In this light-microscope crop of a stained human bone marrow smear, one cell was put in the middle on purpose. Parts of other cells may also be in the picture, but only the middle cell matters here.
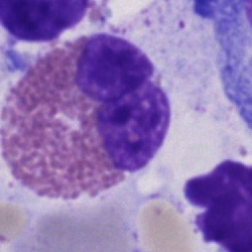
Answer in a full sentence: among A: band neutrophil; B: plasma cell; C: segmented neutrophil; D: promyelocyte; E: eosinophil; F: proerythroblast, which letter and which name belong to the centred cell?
The correct response is option E, naming the cell in the middle as an eosinophil.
